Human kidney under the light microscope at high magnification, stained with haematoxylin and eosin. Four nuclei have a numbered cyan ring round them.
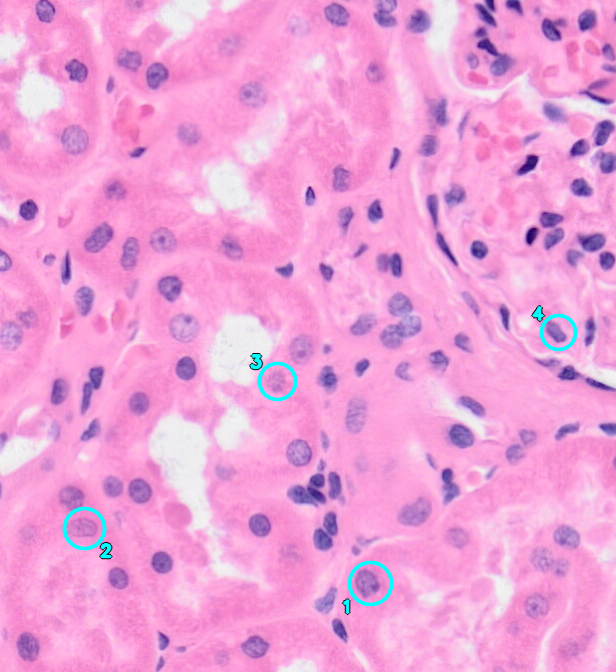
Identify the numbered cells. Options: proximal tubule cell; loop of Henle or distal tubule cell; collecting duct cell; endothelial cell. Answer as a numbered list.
1. proximal tubule cell
2. proximal tubule cell
3. proximal tubule cell
4. endothelial cell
